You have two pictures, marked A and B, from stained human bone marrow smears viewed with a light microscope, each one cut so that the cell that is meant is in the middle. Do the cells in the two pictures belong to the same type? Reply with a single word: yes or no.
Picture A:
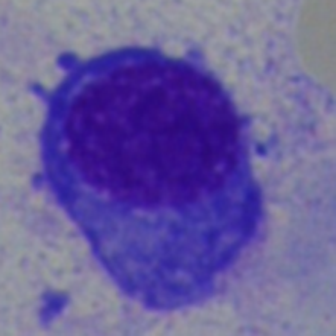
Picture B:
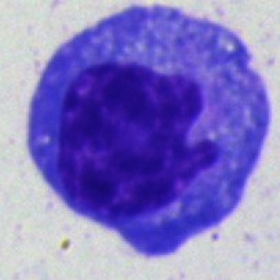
yes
